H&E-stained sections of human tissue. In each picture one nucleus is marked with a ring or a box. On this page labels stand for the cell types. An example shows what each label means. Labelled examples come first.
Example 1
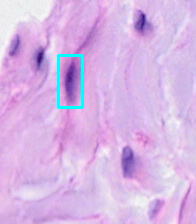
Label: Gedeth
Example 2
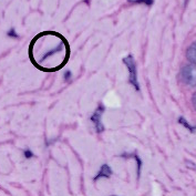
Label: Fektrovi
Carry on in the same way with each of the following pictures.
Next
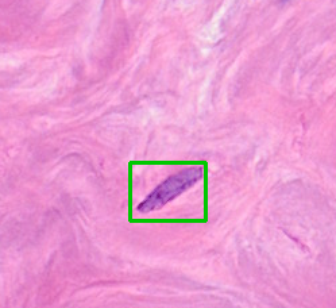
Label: Fektrovi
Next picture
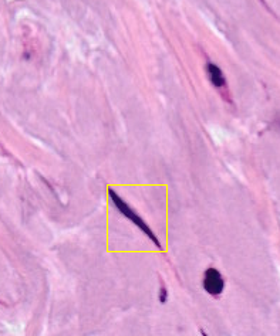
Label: Fektrovi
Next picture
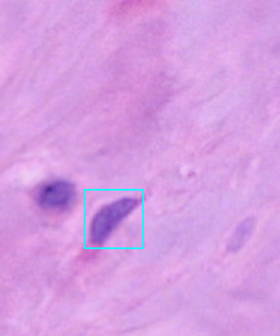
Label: Fektrovi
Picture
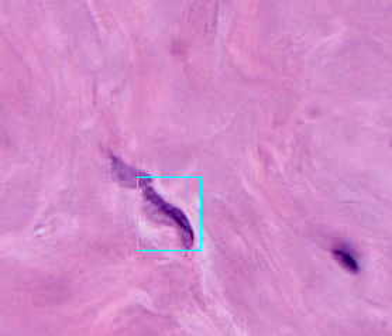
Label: Fektrovi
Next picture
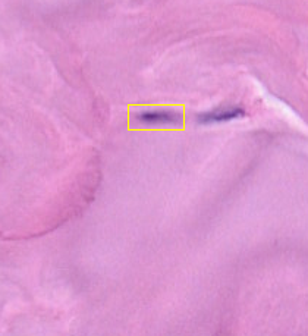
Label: Fektrovi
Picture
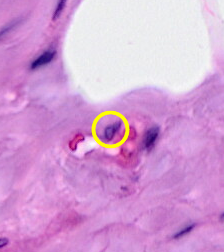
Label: Gedeth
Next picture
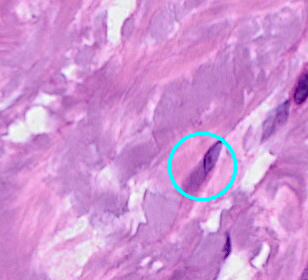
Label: Fektrovi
